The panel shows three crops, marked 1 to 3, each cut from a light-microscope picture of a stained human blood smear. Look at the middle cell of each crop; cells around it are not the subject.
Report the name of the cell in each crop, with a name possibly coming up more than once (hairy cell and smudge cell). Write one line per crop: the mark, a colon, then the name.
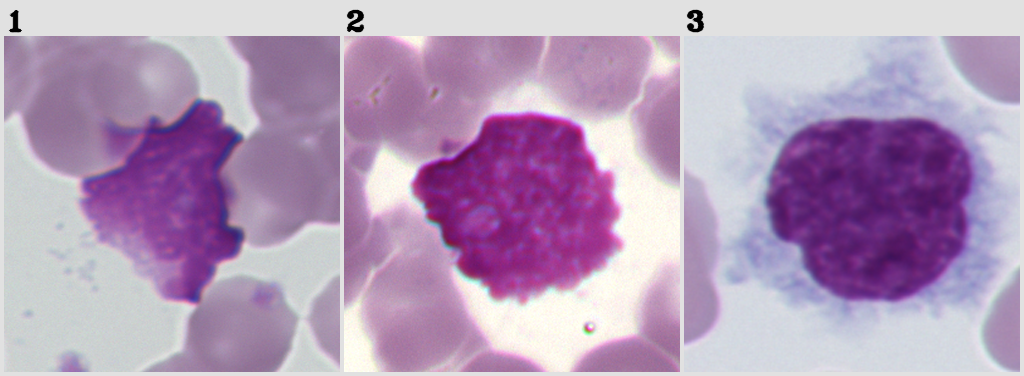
1: smudge cell
2: smudge cell
3: hairy cell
